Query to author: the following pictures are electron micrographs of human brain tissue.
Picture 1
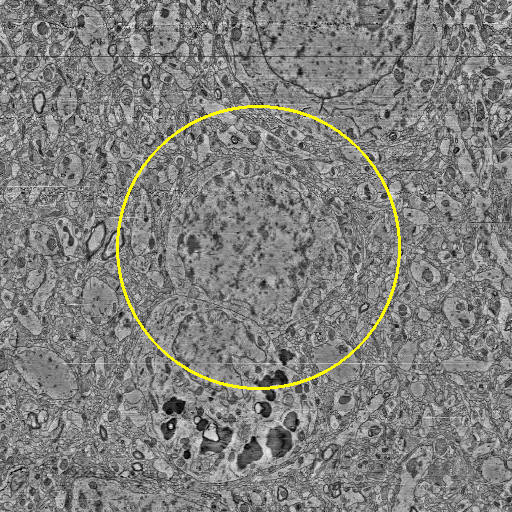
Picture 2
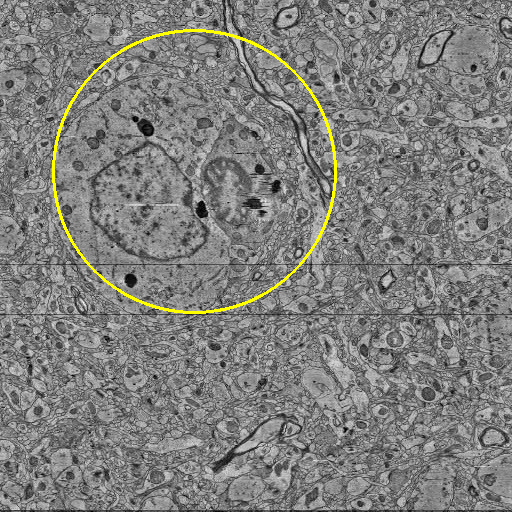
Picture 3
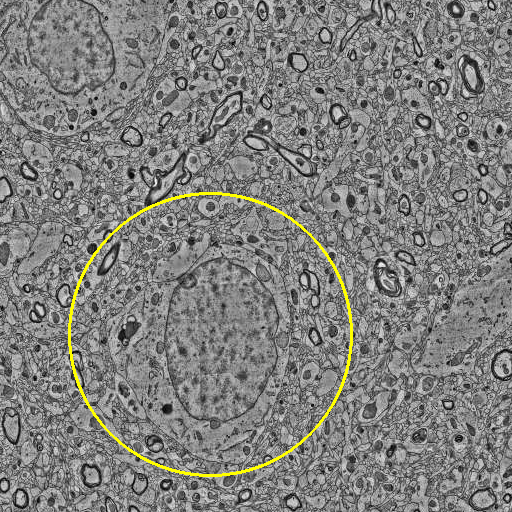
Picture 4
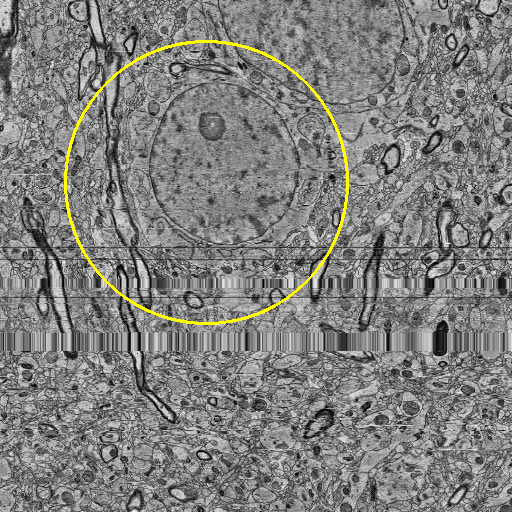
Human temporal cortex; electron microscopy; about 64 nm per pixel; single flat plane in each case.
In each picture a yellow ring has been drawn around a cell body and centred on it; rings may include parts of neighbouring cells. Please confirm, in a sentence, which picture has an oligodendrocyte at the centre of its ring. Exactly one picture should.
Picture 2 has it at the centre of its ring.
